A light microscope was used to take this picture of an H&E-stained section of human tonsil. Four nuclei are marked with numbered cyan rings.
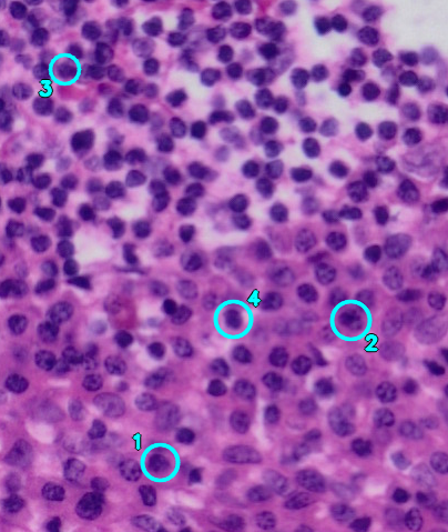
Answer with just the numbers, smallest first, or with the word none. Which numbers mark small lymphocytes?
3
